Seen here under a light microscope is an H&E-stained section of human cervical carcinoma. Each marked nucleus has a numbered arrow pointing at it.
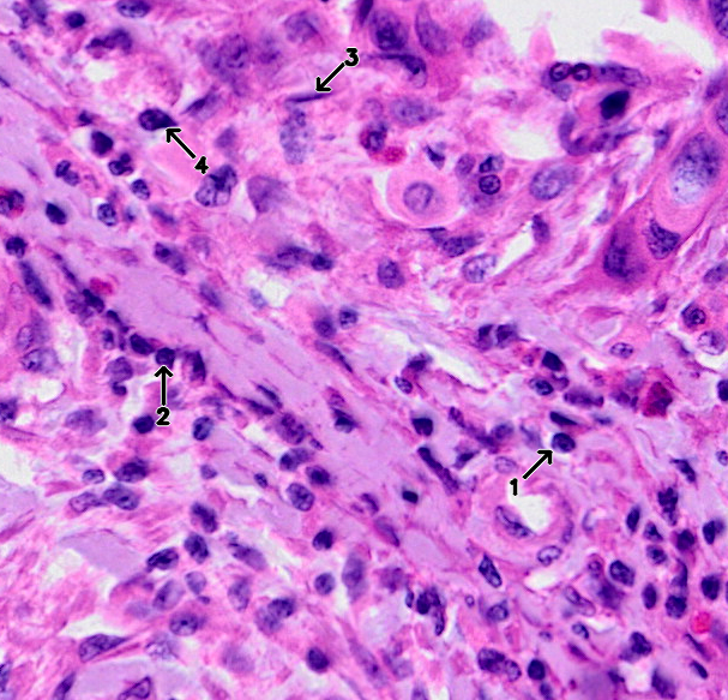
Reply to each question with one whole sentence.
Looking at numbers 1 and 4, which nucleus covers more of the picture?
It is nucleus 4, which covers about 1.5 times the area of nucleus 1.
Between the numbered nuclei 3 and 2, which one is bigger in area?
Nucleus 3 covers more area, about 2 times as much as nucleus 2.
